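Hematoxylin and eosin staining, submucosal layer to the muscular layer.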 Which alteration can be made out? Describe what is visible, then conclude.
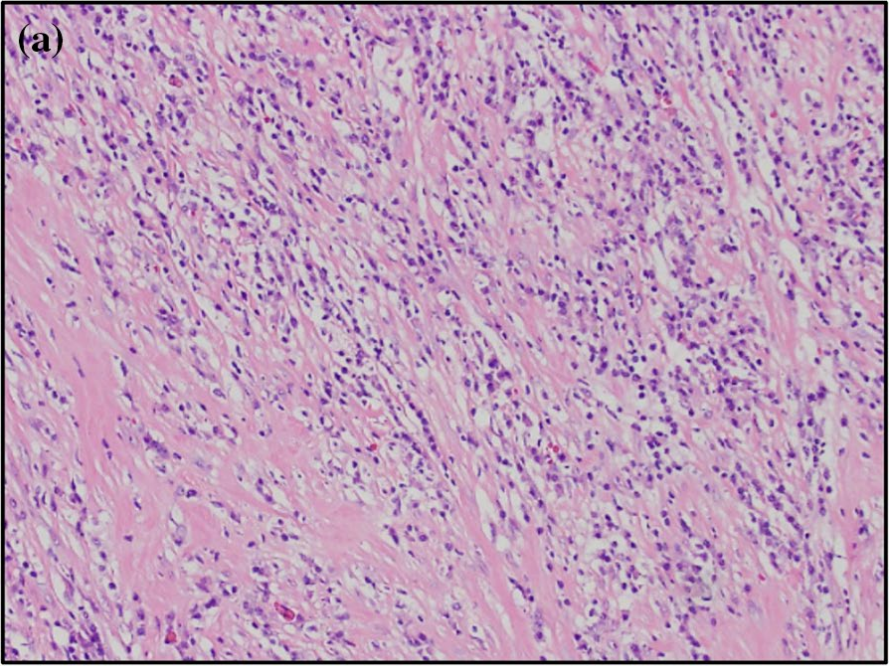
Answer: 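Broad pale pink fibrous bands run between the cellular areas. Cells are arranged in streaks separated by eosinophilic fibrous stroma. That points to this answer: increased collagen fiber proliferation.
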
